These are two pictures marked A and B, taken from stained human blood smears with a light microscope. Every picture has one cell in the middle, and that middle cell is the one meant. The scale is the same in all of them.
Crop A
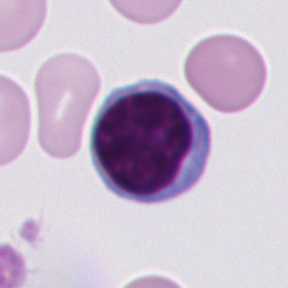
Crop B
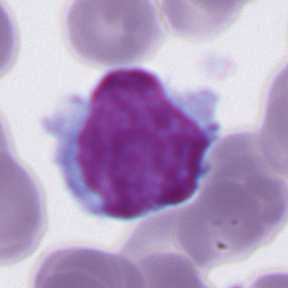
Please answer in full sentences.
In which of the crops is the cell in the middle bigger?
Crop B holds the larger cell; it covers about 1.5 times the area of the cell in crop A.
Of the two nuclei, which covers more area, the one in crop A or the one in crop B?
Crop B shows the larger nucleus; it covers about 2 times the area of the nucleus in crop A.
